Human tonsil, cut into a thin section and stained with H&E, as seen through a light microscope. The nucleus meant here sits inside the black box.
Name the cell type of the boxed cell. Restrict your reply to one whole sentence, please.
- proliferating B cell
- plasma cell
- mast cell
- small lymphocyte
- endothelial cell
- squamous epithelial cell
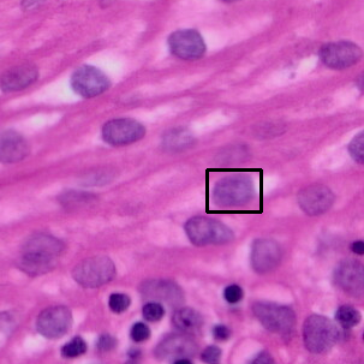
In the tissue under study, the boxed cell is a squamous epithelial cell.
